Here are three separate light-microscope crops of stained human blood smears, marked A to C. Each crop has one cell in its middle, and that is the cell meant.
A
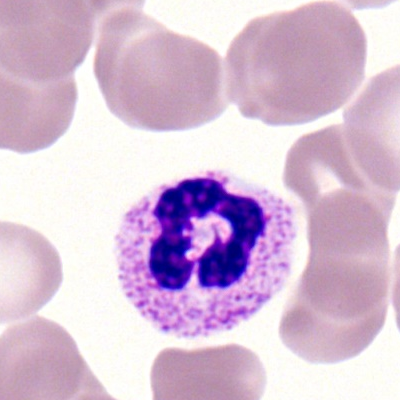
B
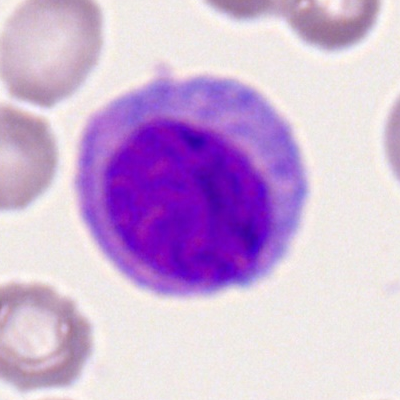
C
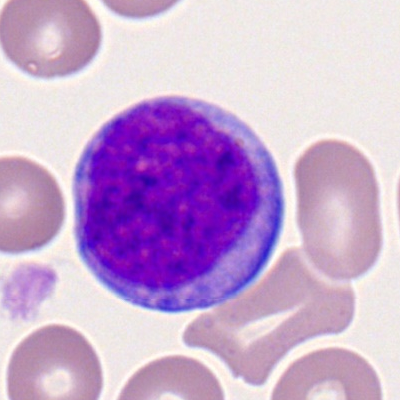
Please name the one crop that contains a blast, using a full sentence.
The one that shows a blast is crop C.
